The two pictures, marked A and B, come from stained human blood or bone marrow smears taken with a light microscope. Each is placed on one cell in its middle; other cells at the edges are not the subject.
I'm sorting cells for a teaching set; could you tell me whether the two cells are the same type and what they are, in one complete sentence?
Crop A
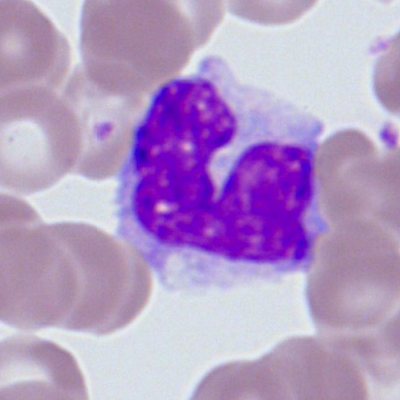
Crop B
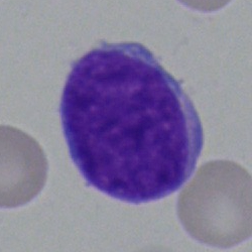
No, in crop B the central cell is a blast, and in crop A it is a monocyte.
